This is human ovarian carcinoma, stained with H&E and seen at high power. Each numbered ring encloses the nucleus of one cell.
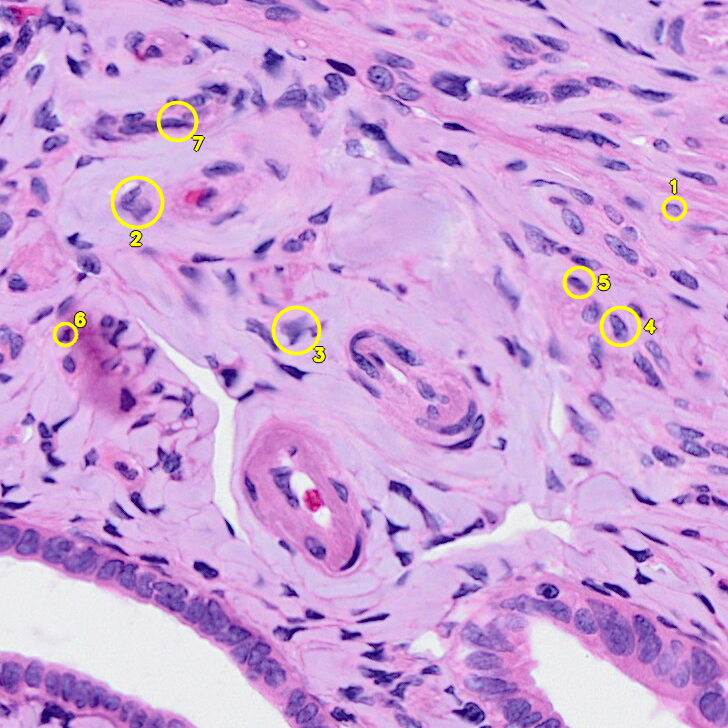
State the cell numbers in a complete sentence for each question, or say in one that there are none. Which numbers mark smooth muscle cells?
The cells that have numbers 1, 4, 5 and 6 are smooth muscle cells.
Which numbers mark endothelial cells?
Only cell 7 is an endothelial cell; none of the other numbered cells is.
